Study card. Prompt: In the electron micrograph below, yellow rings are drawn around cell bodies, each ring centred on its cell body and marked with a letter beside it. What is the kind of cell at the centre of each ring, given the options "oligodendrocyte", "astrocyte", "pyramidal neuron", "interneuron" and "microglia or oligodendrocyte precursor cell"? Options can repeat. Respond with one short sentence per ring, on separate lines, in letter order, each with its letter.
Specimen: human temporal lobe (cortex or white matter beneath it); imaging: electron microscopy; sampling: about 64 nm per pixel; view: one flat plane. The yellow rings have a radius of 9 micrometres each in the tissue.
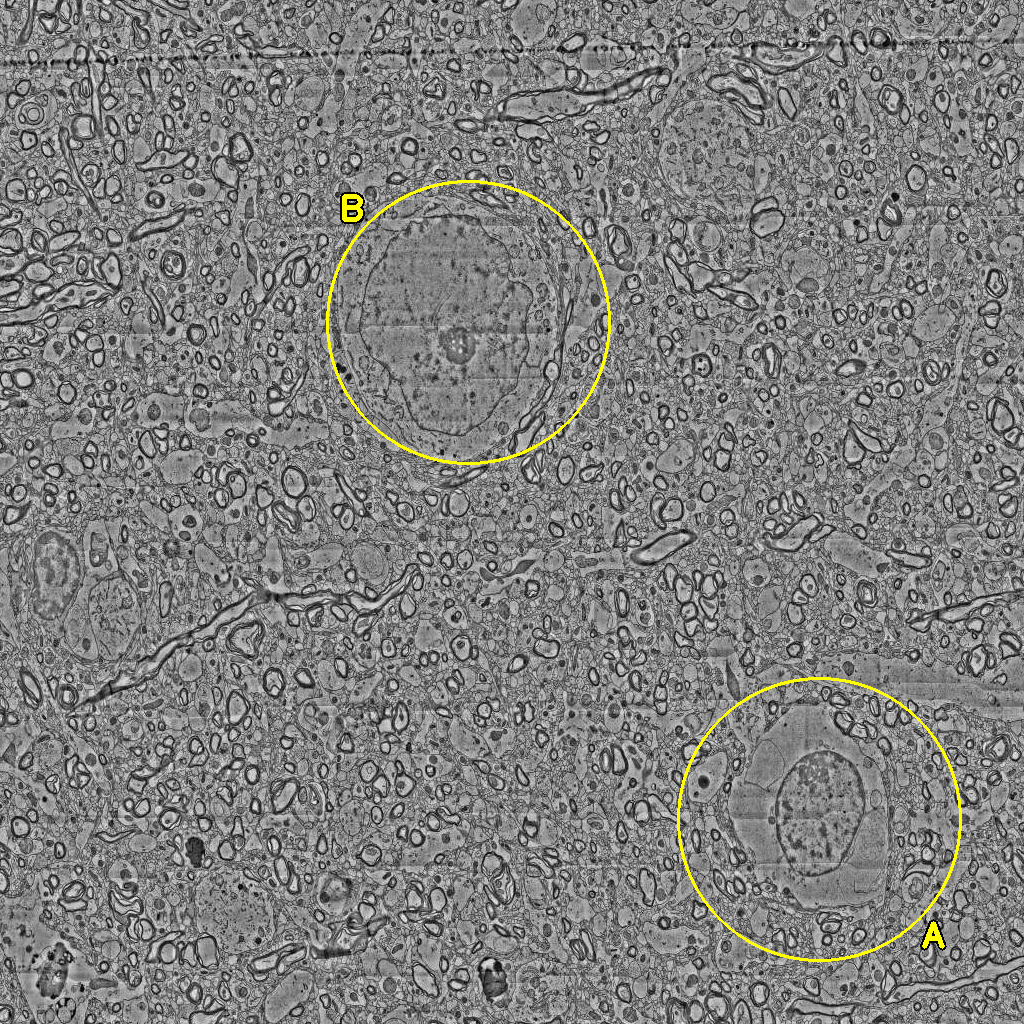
Ring A outlines an astrocyte.
Ring B outlines a pyramidal neuron.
